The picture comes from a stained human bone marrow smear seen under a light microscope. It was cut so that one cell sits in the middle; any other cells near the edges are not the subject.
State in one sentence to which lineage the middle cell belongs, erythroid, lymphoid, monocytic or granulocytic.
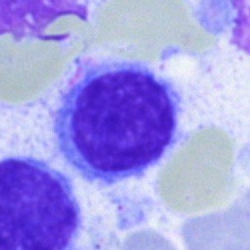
Of lymphoid lineage is the cell at the center of the crop.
